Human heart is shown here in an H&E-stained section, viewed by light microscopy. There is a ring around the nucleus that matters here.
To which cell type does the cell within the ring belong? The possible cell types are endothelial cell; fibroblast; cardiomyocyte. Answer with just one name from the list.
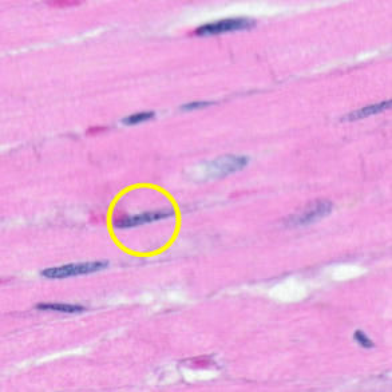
endothelial cell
